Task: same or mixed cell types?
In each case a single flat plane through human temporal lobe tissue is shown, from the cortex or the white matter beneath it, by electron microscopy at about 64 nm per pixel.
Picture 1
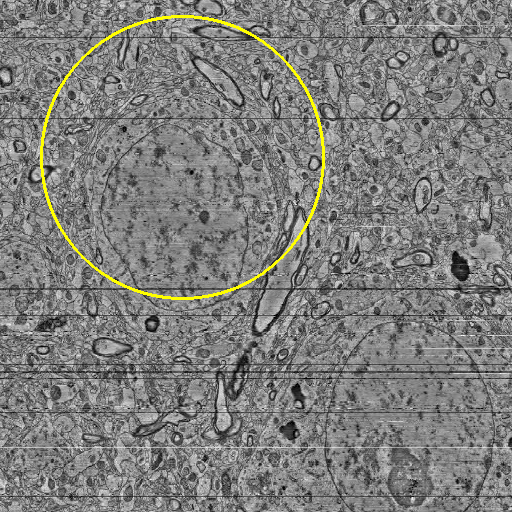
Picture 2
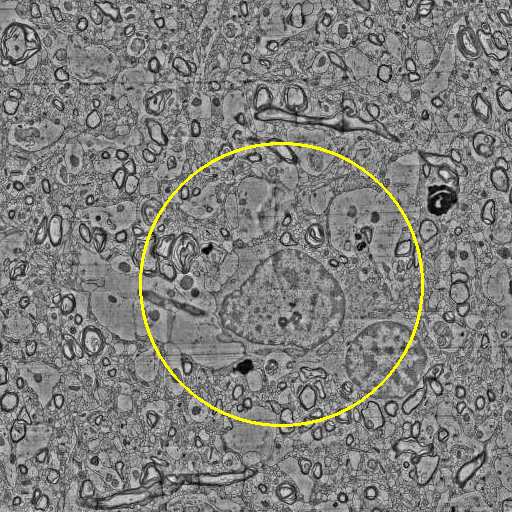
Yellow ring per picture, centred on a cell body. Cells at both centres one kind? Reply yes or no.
no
